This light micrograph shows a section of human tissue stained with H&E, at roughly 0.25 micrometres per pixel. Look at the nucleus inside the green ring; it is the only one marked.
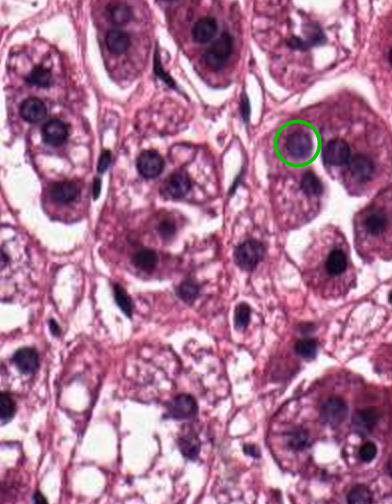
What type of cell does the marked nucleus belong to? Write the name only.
adrenal cortical cell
